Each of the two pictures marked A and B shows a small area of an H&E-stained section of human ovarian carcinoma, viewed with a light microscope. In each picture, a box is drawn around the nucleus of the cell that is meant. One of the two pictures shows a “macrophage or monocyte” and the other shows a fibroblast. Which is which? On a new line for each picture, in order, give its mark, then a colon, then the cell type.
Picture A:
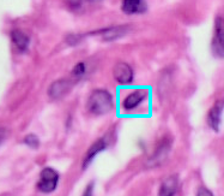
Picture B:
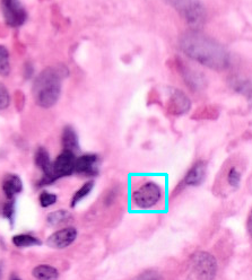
A: fibroblast
B: macrophage or monocyte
